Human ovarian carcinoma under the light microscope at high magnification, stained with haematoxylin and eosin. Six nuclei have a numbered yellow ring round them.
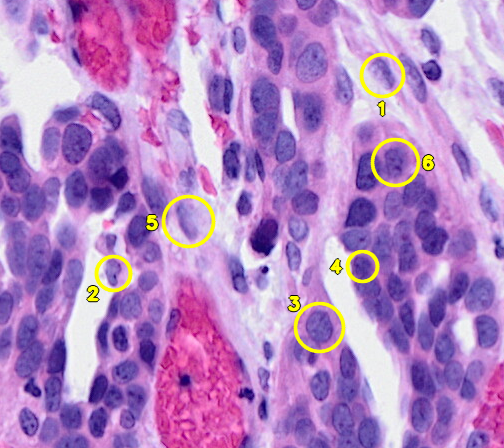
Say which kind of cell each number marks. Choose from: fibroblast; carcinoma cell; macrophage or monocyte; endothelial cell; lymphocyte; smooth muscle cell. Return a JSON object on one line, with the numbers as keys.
{"1": "fibroblast", "2": "macrophage or monocyte", "3": "carcinoma cell", "4": "carcinoma cell", "5": "fibroblast", "6": "carcinoma cell"}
